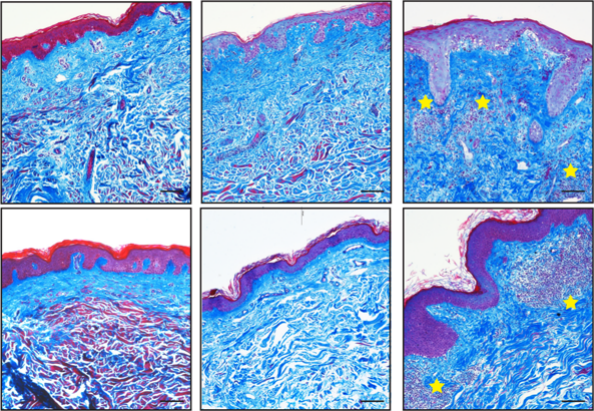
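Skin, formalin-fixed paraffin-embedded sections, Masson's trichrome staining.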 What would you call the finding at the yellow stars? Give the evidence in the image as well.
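Inflammatory cell infiltration. The stars sit on dense clusters of small, dark purple dots within the blue dermis. These clusters break up the regular blue fibre pattern seen elsewhere.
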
